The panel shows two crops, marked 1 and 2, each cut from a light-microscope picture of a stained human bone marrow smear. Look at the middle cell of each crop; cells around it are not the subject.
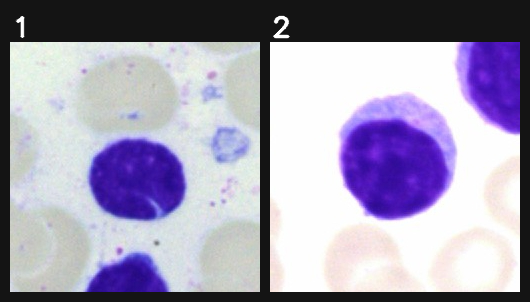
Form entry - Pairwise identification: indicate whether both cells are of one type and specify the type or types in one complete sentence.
Yes, both crops depict lymphocytes at the centre.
